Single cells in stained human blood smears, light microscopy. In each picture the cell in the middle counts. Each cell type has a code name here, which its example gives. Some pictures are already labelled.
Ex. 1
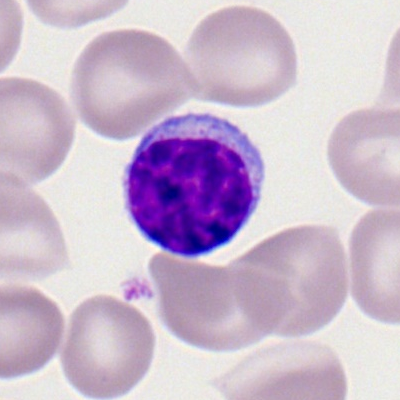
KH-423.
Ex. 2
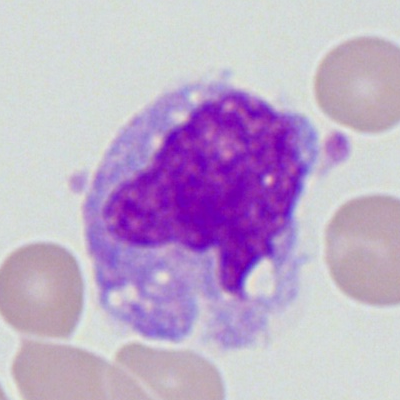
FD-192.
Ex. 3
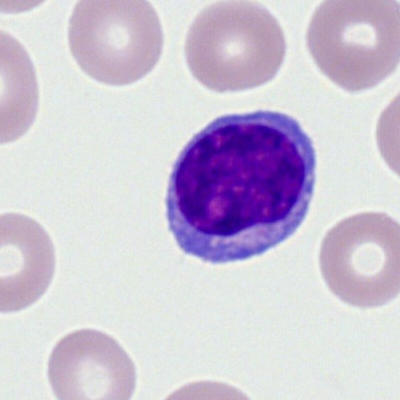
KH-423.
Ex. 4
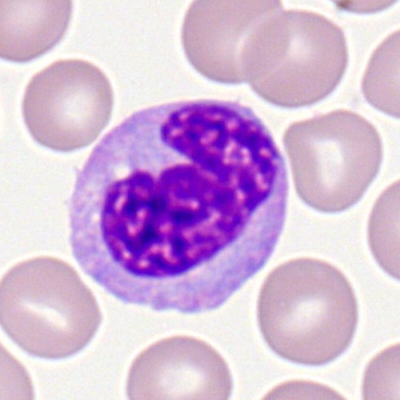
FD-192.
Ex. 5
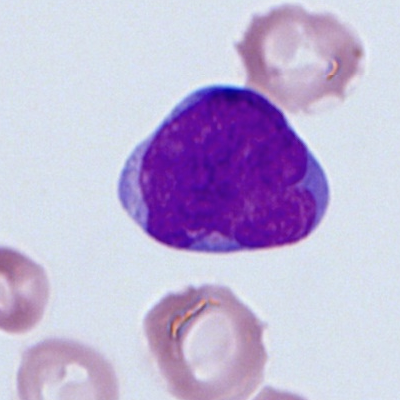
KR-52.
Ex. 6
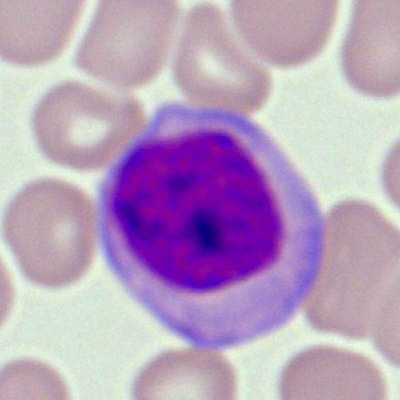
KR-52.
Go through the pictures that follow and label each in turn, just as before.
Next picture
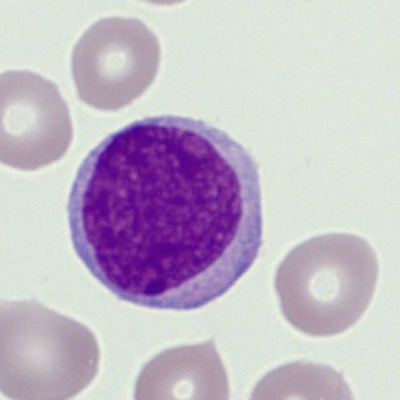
KR-52.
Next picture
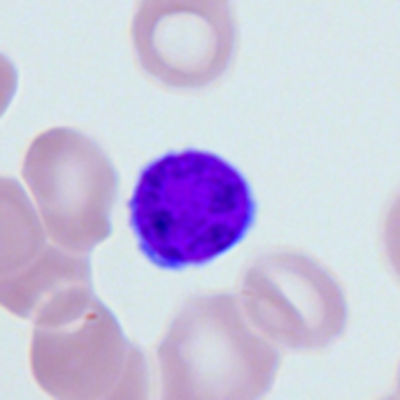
KH-423.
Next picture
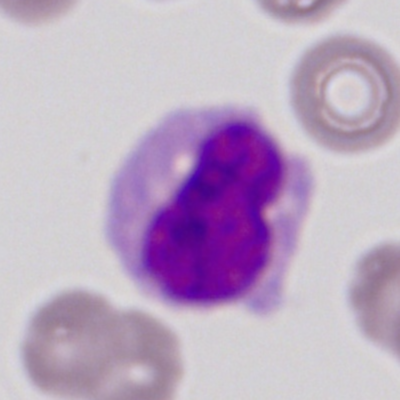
FD-192.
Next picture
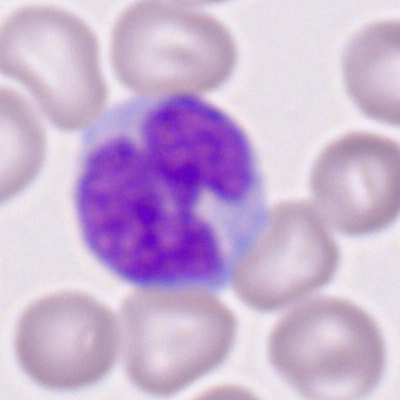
FD-192.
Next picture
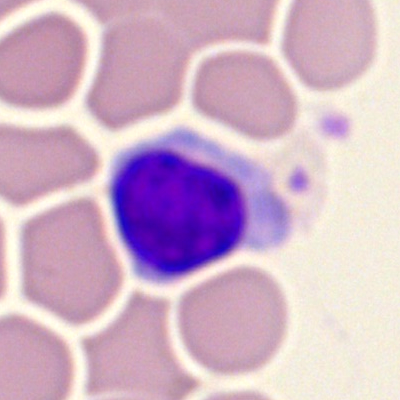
KH-423.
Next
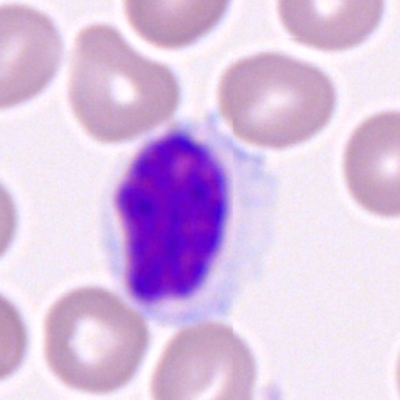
KH-423.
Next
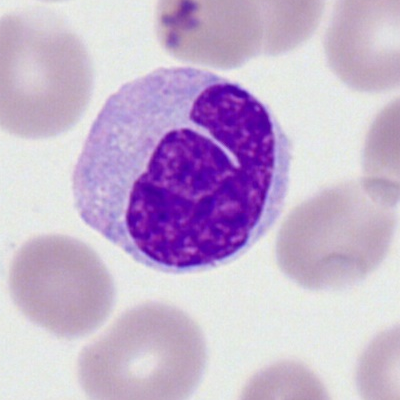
FD-192.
